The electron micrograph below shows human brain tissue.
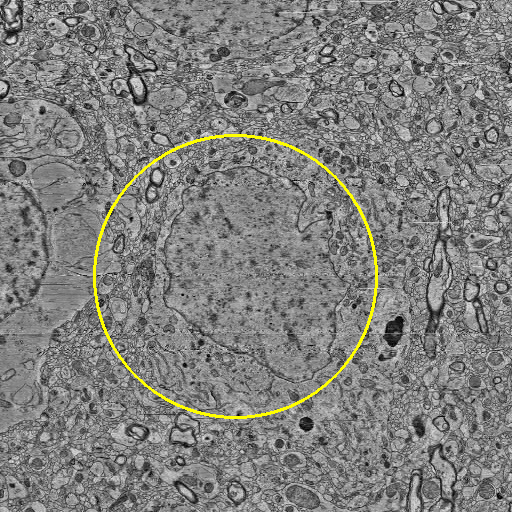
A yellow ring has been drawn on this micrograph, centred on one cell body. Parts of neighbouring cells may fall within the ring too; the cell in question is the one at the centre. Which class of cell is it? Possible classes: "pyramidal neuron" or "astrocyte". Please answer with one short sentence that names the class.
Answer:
In the centre of the ring sits a pyramidal neuron.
